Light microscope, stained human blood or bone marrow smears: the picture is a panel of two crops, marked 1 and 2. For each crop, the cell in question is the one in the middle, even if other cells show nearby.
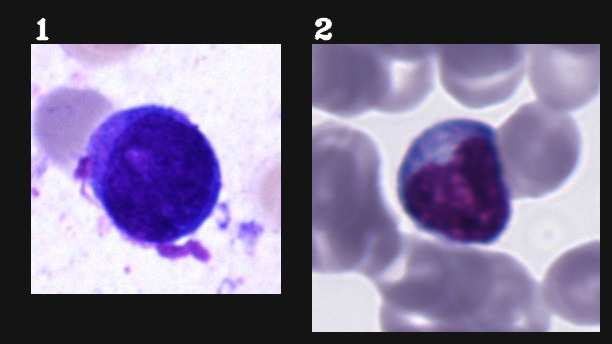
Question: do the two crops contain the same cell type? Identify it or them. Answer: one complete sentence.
No, mark crop 1 as a blast and crop 2 as a lymphocyte.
